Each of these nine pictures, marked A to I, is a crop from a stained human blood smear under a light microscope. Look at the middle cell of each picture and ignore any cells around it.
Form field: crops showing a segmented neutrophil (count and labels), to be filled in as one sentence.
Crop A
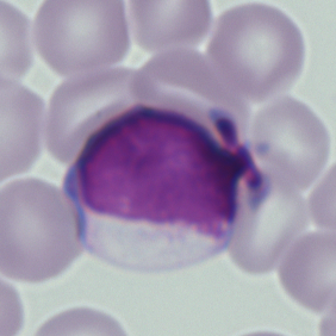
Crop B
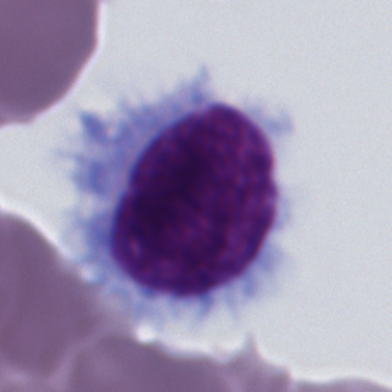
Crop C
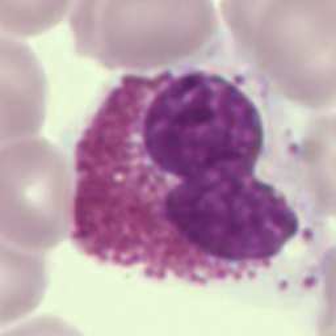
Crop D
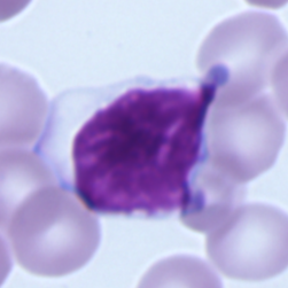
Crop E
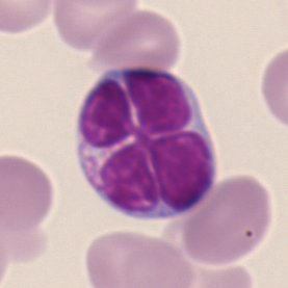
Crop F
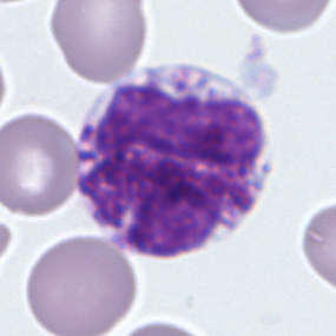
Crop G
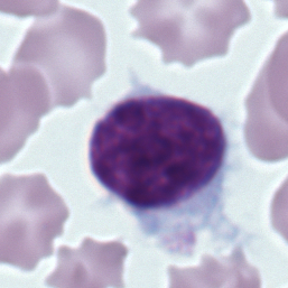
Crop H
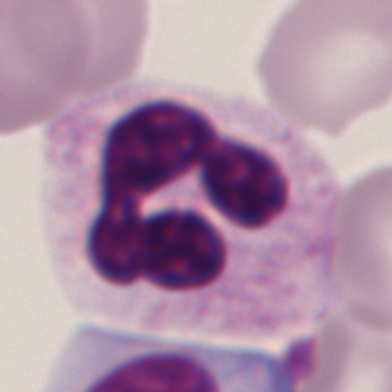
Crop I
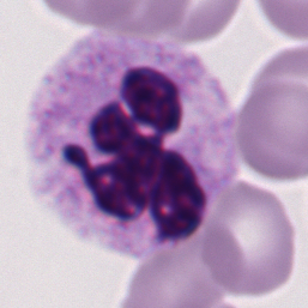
Crops H and I, two in total, show segmented neutrophils.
